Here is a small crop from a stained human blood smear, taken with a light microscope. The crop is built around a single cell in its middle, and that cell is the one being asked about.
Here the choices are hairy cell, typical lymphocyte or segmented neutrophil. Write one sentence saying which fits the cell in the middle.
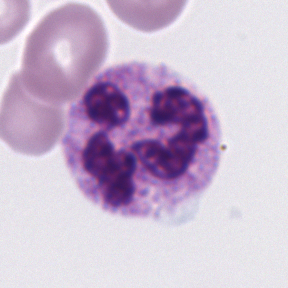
In the central position of this crop, the cell is a segmented neutrophil.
